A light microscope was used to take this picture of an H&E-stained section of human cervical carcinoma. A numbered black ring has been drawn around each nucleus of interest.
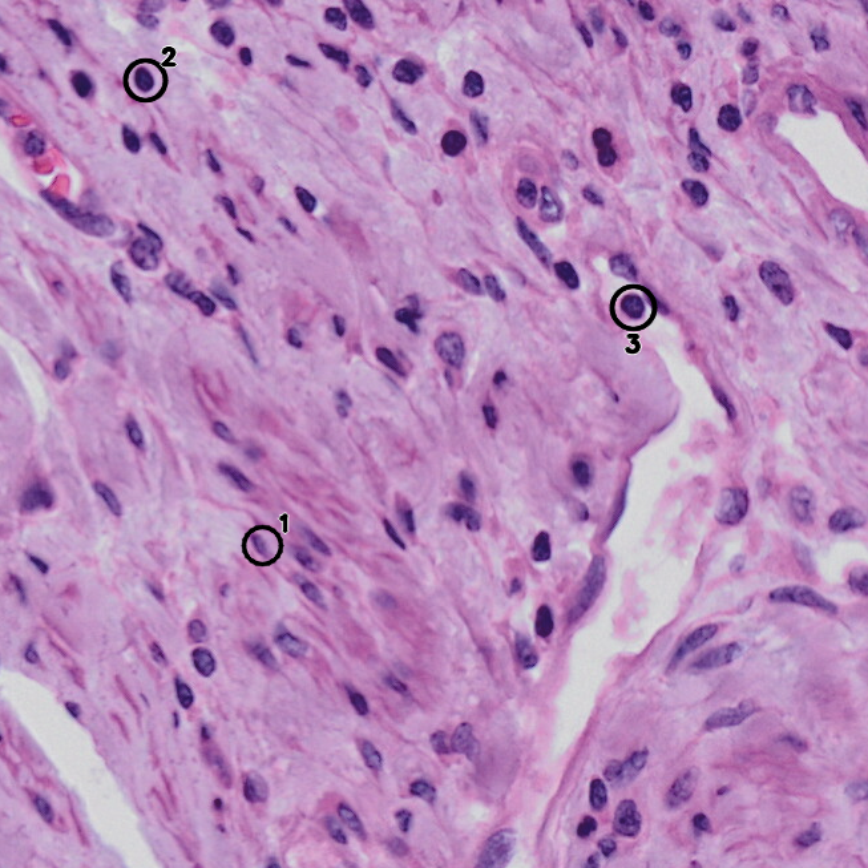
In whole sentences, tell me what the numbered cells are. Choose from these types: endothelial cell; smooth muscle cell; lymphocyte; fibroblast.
Cell 1 is a smooth muscle cell, cell 2 is a lymphocyte and cell 3 is a lymphocyte.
